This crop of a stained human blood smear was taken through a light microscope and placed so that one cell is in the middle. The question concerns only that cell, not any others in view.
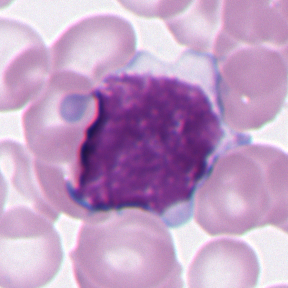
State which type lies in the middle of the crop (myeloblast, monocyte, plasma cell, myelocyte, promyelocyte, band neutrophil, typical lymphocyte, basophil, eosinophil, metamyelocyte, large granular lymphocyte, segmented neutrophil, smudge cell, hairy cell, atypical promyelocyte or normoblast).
typical lymphocyte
